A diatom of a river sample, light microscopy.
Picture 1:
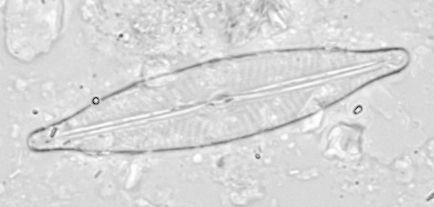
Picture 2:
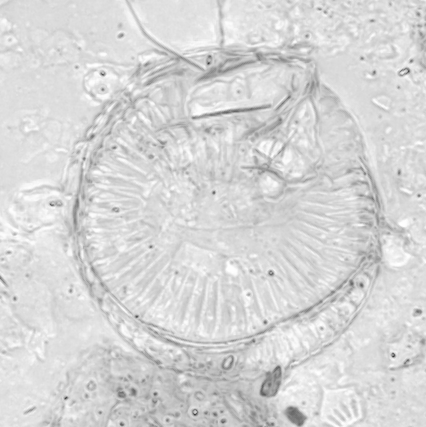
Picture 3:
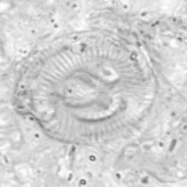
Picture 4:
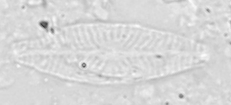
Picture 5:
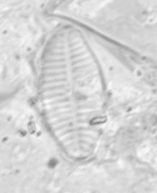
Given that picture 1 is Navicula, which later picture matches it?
4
